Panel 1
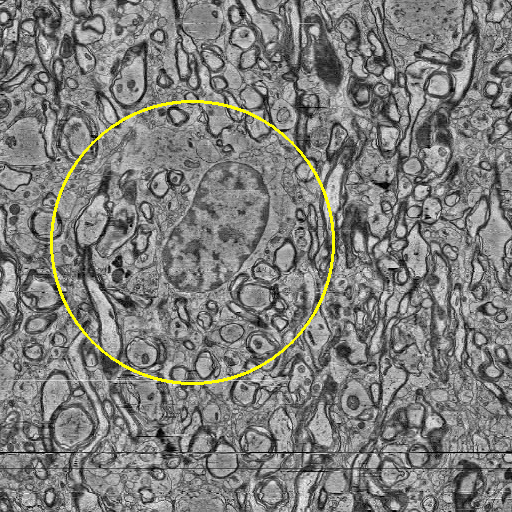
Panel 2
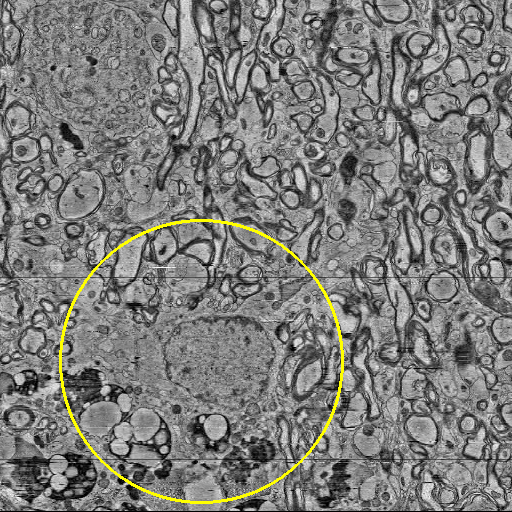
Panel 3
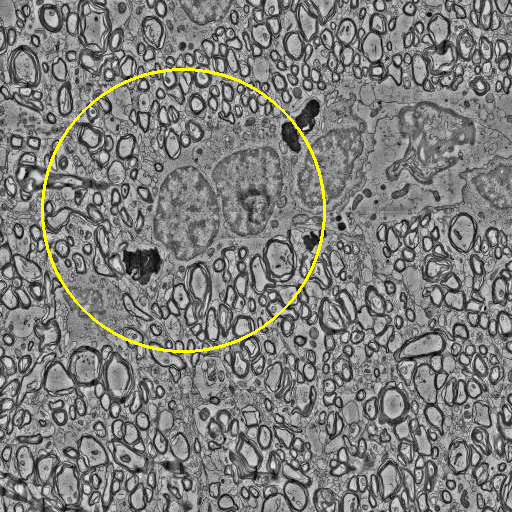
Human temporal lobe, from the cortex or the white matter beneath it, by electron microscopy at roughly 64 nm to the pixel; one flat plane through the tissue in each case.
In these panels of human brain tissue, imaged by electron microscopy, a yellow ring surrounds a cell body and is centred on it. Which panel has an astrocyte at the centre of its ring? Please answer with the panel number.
2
